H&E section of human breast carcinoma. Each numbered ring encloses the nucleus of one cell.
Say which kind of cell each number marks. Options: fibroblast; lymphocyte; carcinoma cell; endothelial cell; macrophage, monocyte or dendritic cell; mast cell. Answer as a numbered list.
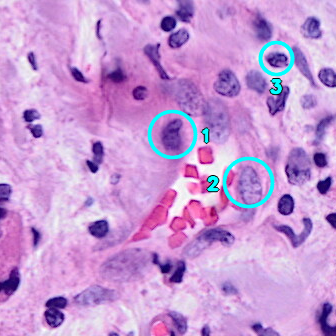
1. endothelial cell
2. endothelial cell
3. lymphocyte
